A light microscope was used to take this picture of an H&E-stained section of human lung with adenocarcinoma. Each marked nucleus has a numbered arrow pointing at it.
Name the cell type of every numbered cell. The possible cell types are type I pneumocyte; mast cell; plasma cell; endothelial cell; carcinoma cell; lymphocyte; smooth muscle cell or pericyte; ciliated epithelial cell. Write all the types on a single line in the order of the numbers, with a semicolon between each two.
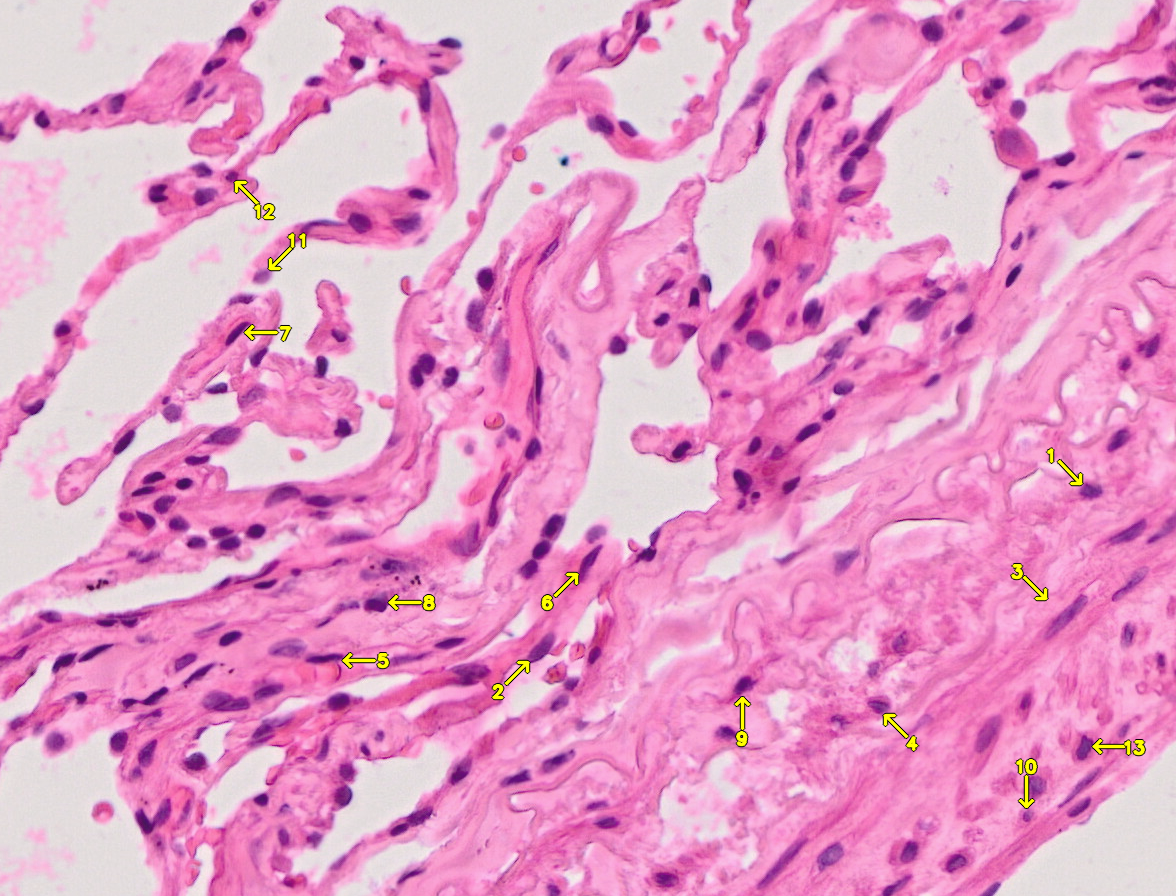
smooth muscle cell or pericyte; type I pneumocyte; smooth muscle cell or pericyte; smooth muscle cell or pericyte; endothelial cell; endothelial cell; endothelial cell; plasma cell; smooth muscle cell or pericyte; smooth muscle cell or pericyte; type I pneumocyte; endothelial cell; smooth muscle cell or pericyte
